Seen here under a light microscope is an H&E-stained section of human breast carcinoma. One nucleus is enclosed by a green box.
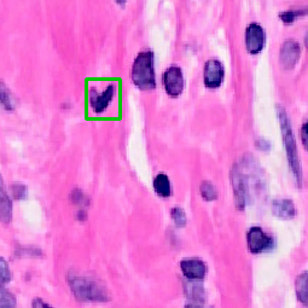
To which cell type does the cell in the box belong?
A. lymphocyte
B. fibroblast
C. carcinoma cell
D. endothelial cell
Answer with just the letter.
A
